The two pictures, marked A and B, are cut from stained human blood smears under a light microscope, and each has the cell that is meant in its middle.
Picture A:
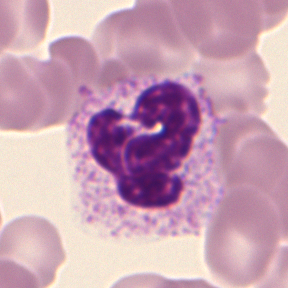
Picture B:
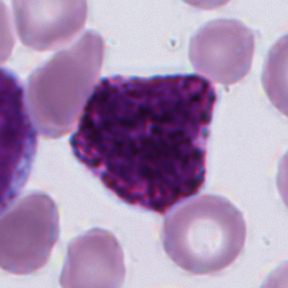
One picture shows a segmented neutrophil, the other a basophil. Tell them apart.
A: segmented neutrophil
B: basophil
